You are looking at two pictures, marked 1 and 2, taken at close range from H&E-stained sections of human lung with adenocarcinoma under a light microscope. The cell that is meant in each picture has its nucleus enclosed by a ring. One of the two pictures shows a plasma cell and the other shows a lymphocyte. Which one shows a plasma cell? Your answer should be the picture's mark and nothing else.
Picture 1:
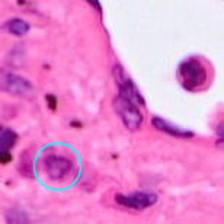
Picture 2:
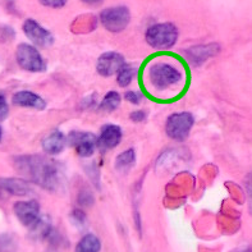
1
